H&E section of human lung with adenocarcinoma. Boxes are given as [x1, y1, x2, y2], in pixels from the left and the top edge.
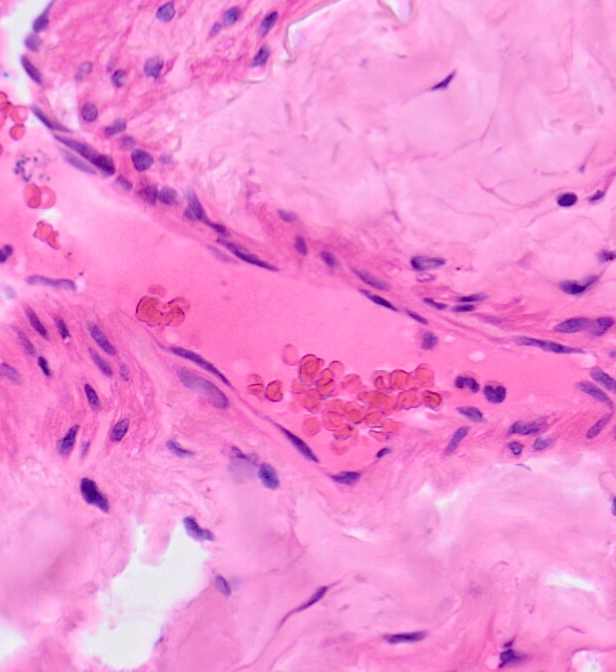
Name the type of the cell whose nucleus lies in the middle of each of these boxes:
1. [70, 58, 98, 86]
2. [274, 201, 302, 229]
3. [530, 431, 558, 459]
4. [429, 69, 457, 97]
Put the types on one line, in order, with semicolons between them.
smooth muscle cell or pericyte; smooth muscle cell or pericyte; smooth muscle cell or pericyte; fibroblast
